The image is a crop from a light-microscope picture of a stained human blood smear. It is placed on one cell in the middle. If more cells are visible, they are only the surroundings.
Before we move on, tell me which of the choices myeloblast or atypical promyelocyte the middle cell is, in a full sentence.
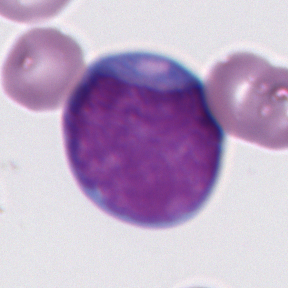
The cell centered in this field of view is a myeloblast.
